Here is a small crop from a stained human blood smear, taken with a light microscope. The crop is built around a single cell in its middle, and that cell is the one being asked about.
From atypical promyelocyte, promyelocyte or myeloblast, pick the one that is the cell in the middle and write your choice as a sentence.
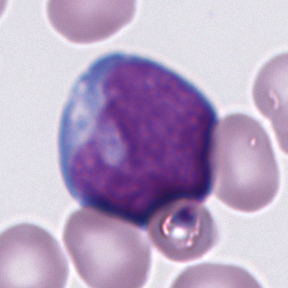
This particular crop is centered on a myeloblast.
